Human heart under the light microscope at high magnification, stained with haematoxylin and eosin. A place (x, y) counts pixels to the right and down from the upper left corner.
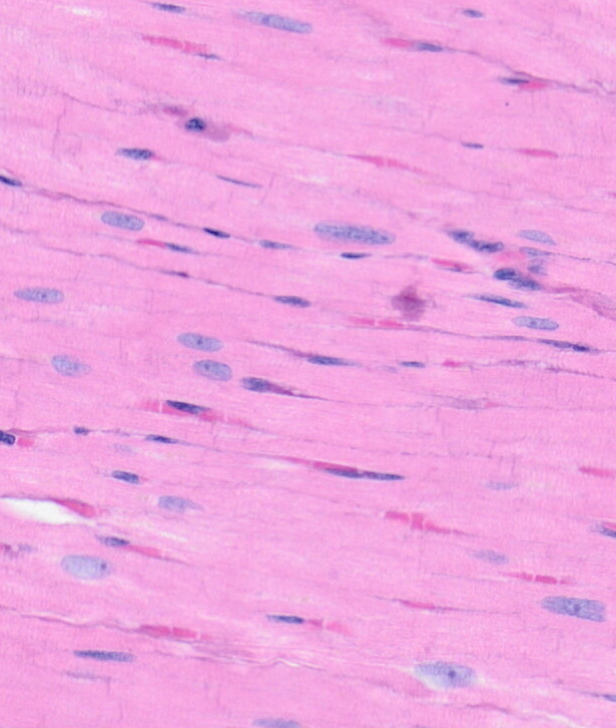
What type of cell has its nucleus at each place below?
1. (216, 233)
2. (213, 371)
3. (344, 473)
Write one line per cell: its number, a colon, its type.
1: endothelial cell
2: cardiomyocyte
3: endothelial cell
